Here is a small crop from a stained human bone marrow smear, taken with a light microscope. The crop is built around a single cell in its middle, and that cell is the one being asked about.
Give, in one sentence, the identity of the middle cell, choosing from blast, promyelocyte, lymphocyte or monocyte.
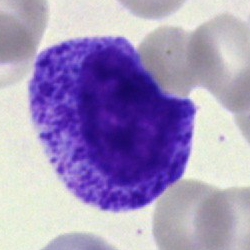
Of the cells in this crop, the central one is a promyelocyte.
